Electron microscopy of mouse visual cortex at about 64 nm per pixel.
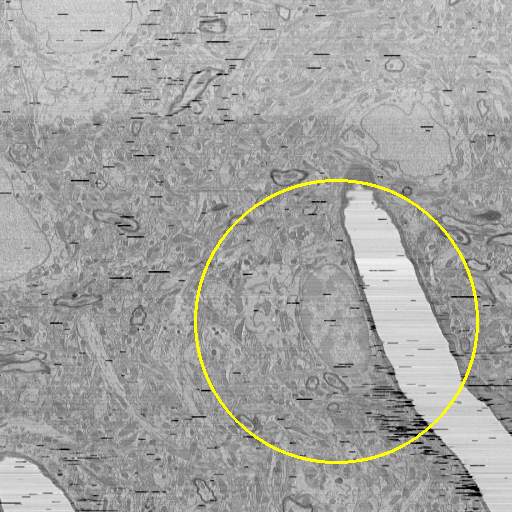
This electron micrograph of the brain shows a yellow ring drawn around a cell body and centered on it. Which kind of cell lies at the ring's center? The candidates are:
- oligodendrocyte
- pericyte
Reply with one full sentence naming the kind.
The cell lying at the ring's center in this micrograph is an oligodendrocyte.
